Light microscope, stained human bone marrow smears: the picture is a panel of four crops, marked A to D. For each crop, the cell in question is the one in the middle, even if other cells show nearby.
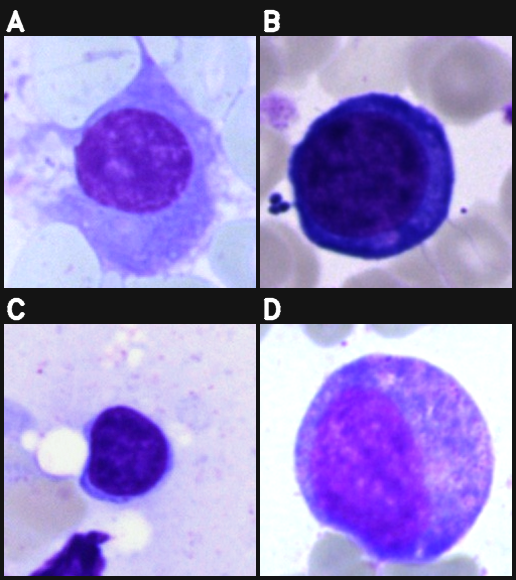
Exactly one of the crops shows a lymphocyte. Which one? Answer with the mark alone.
C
